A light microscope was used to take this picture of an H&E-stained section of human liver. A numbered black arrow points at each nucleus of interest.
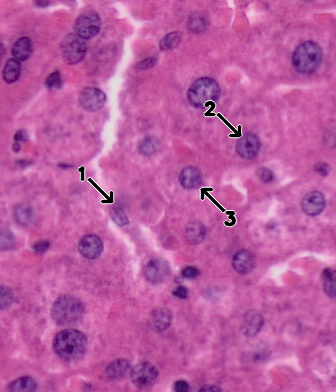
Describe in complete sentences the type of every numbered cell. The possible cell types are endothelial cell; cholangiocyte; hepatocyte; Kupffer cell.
Cell 1 is a Kupffer cell, cell 2 is a hepatocyte and cell 3 is a hepatocyte.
